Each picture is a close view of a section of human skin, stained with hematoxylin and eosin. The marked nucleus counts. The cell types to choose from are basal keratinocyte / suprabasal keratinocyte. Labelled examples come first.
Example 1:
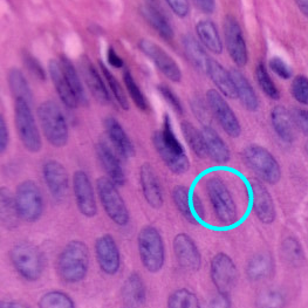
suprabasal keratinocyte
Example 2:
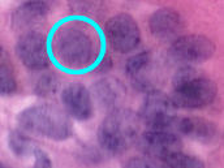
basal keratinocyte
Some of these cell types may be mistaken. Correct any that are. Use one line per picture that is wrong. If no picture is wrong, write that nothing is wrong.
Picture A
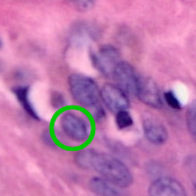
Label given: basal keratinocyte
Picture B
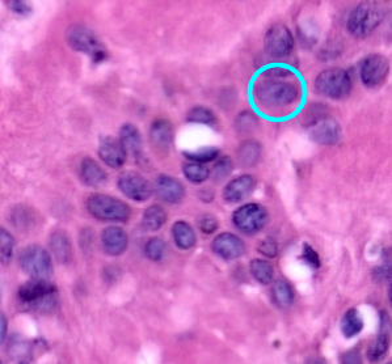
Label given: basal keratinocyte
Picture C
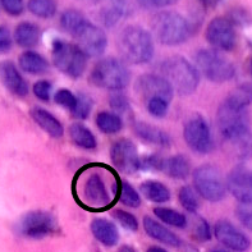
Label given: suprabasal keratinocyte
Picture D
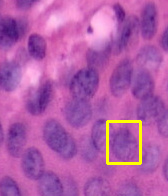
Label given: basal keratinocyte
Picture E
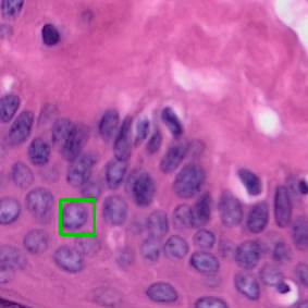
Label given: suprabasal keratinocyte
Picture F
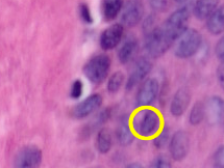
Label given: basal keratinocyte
C should be basal keratinocyte, not suprabasal keratinocyte
D should be suprabasal keratinocyte, not basal keratinocyte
